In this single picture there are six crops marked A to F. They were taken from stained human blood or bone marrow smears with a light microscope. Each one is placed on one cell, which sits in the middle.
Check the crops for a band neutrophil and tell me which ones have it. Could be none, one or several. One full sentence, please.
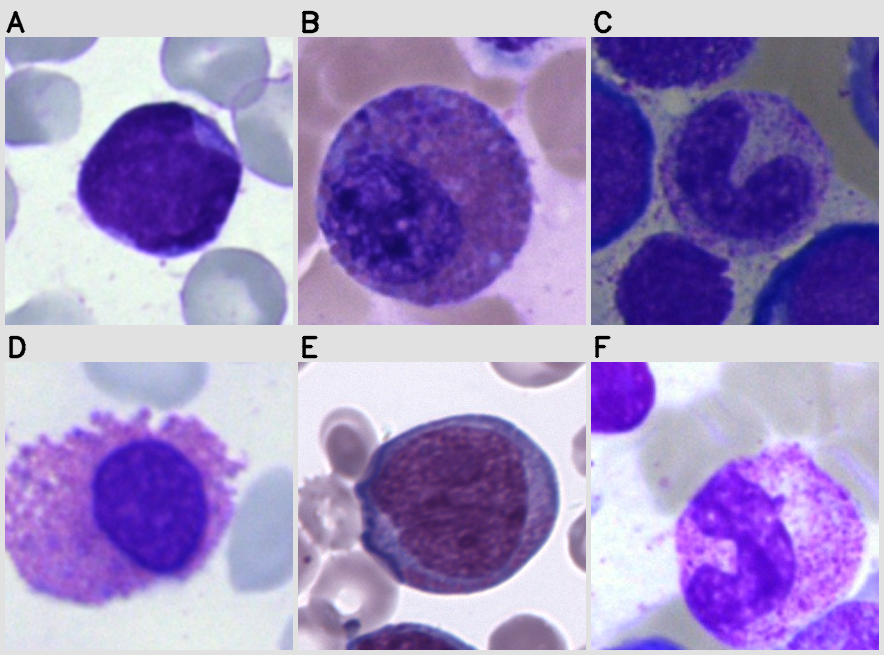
Crops C and F have band neutrophils as the central cells.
